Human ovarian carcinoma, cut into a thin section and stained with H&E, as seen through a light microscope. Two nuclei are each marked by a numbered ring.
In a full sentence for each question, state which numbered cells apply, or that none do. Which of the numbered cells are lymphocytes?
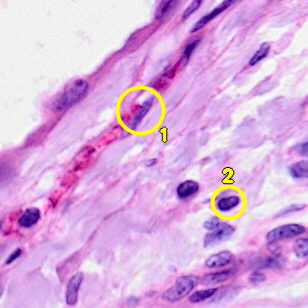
The cell labelled 2 is a lymphocyte, while the remaining numbered cells are not.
